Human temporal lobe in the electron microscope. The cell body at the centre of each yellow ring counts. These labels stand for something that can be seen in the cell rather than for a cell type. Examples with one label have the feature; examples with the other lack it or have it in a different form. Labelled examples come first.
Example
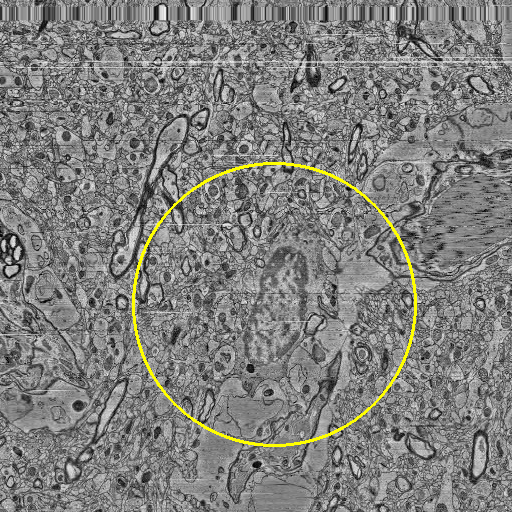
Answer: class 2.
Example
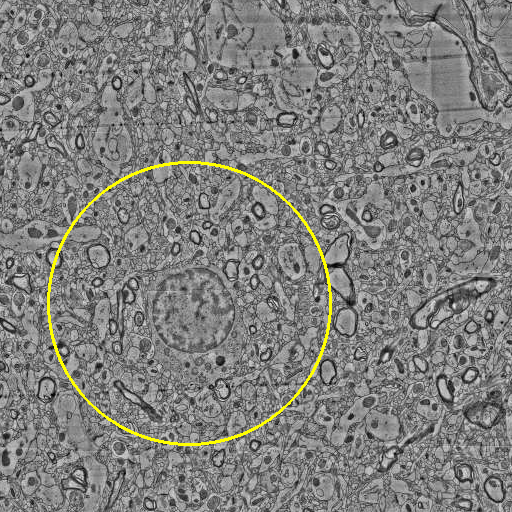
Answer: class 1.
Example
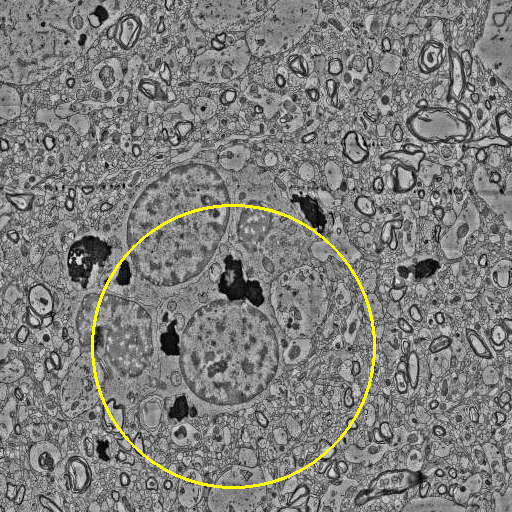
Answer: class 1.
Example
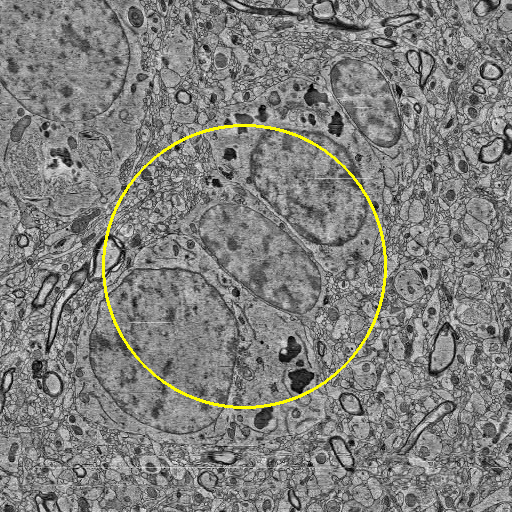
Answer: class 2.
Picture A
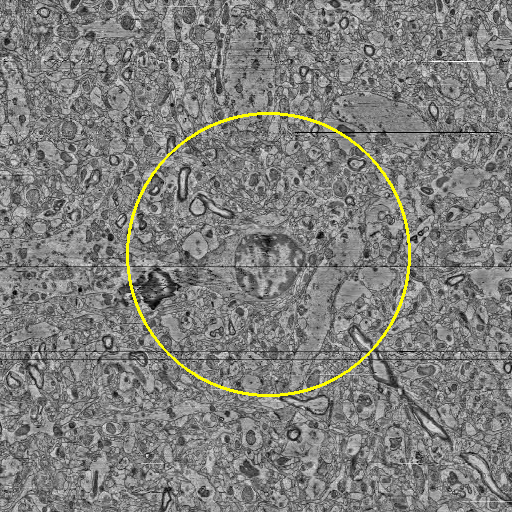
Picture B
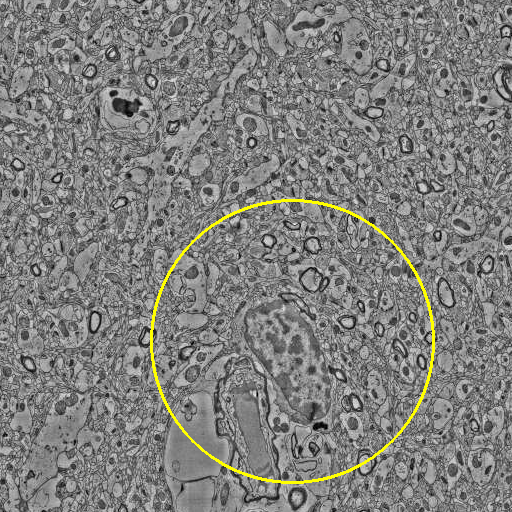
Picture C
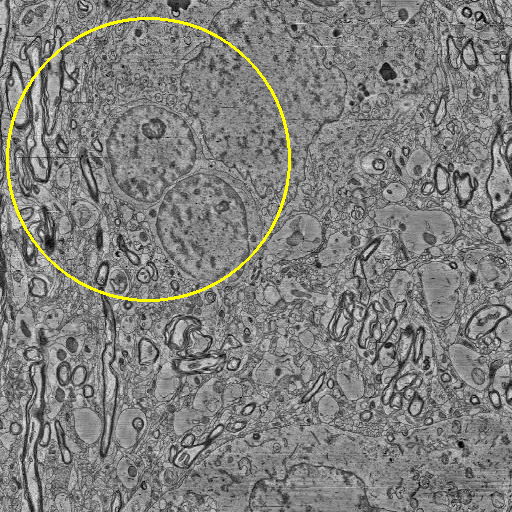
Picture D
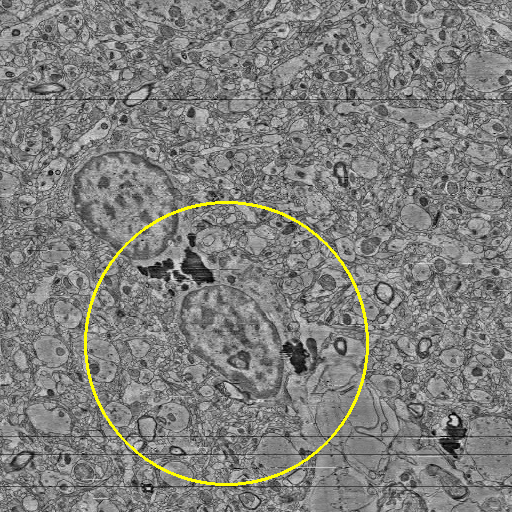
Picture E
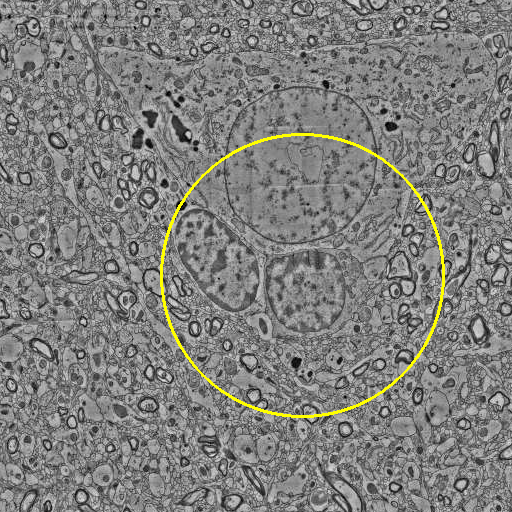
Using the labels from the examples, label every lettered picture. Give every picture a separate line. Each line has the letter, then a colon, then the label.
A: class 1.
B: class 2.
C: class 1.
D: class 2.
E: class 1.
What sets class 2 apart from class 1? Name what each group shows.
Seen in class 2: clearly elongated nuclei; seen in class 1: round or nearly round nuclei.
